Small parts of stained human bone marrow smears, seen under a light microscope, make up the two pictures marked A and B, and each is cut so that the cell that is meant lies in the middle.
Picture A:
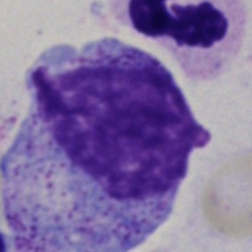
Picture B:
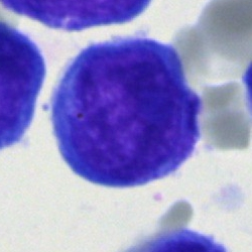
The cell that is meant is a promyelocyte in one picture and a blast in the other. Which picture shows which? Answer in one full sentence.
Picture A is of a promyelocyte, and picture B is of a blast.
